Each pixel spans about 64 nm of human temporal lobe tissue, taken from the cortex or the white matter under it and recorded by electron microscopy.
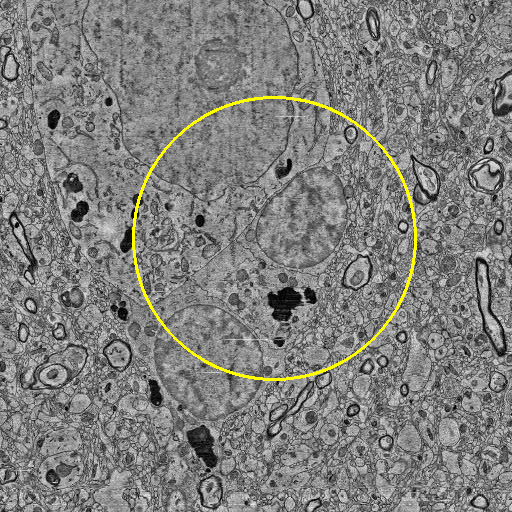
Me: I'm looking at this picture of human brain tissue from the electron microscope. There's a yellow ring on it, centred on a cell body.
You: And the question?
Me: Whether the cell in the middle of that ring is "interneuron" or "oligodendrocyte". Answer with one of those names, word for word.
oligodendrocyte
